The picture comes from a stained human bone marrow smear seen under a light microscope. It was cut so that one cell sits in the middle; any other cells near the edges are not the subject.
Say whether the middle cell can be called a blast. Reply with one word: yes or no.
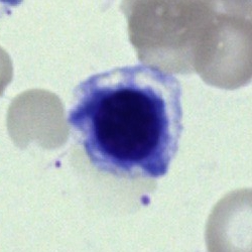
no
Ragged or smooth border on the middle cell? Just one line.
A ragged or projecting edge replaces the smooth outline in this cell.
